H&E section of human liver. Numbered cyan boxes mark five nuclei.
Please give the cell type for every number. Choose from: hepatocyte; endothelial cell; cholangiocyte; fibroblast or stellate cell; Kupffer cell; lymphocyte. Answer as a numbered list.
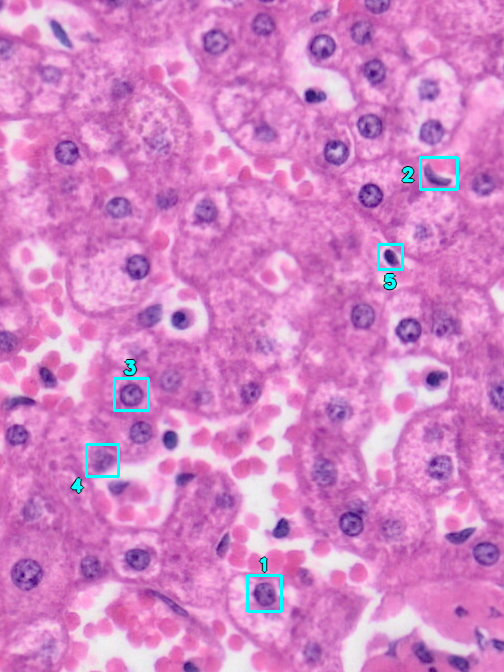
1. hepatocyte
2. endothelial cell
3. hepatocyte
4. hepatocyte
5. lymphocyte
